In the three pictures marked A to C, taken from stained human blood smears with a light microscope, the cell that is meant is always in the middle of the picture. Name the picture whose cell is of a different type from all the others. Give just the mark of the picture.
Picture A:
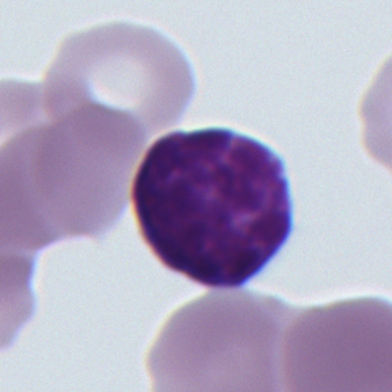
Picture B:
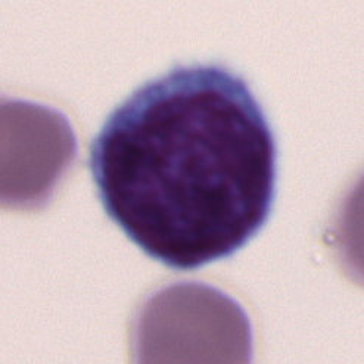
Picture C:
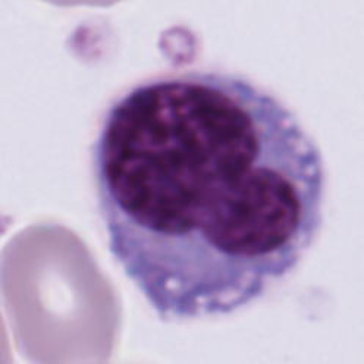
C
